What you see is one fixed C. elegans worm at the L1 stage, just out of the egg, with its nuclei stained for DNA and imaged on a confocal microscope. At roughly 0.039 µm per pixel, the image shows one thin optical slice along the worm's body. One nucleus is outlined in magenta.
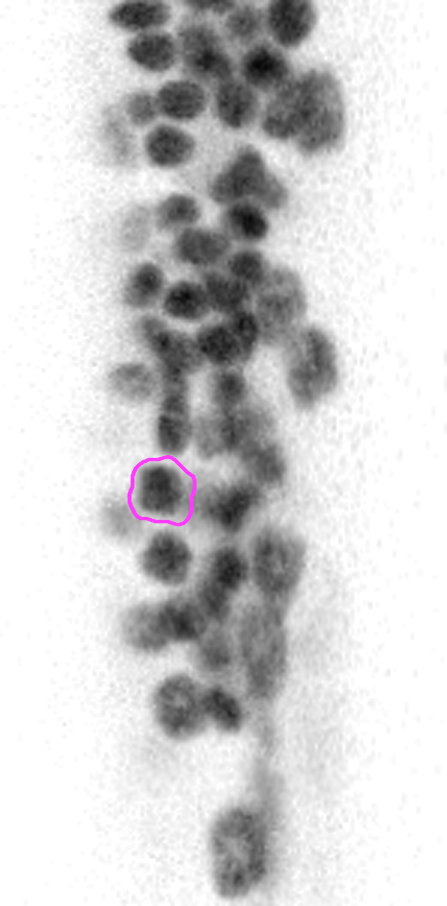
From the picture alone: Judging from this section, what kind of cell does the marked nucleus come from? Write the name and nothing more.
hypodermal cell (hyp)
